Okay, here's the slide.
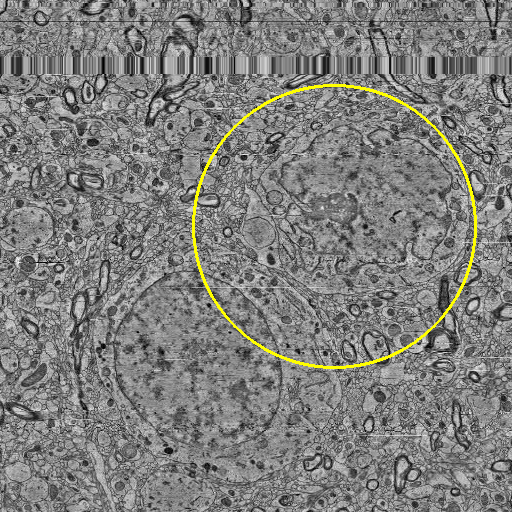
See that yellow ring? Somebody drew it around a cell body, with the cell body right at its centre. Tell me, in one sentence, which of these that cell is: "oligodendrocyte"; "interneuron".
The cell in the middle of the ring is an interneuron.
